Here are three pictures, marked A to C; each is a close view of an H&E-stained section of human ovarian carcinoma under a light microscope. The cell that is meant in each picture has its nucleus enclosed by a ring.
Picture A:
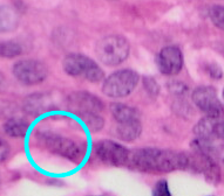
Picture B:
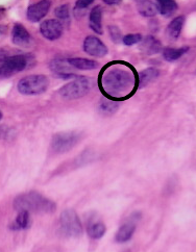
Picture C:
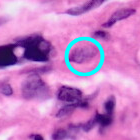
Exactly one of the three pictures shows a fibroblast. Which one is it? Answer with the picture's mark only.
C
